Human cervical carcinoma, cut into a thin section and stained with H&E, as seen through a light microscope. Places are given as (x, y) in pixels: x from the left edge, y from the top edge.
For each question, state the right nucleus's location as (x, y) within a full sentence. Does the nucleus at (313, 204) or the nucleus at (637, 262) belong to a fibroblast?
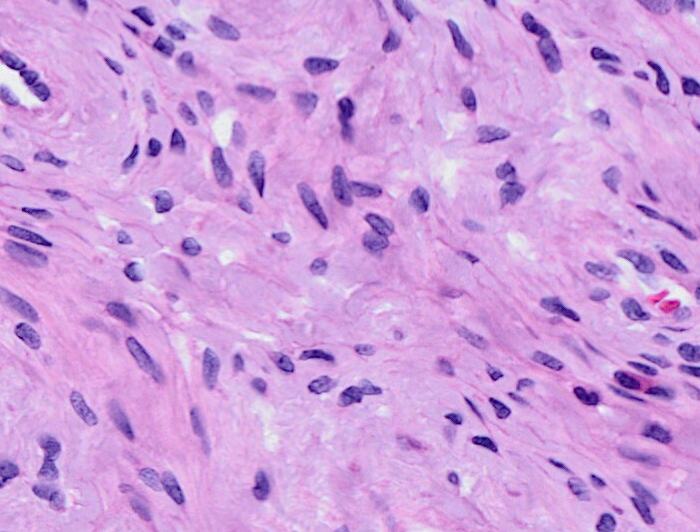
The nucleus contained in a fibroblast is the one at (313, 204).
